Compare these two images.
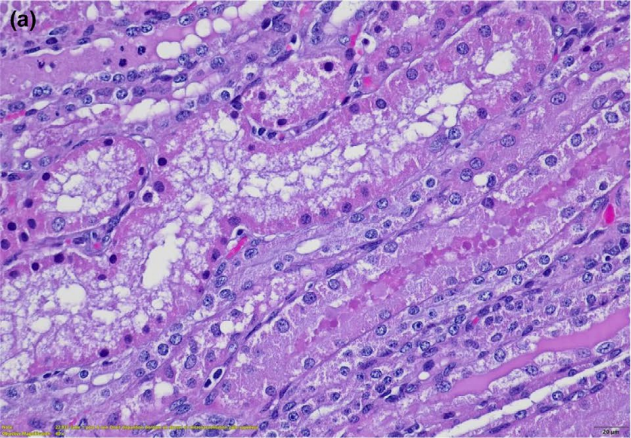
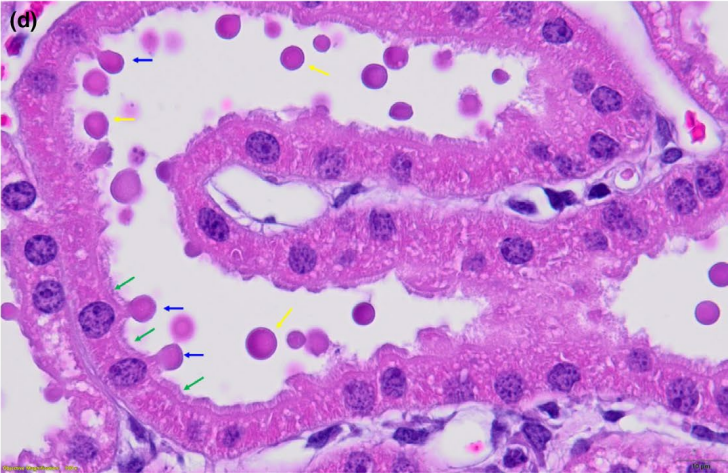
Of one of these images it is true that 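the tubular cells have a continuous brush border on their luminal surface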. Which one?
The second image.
